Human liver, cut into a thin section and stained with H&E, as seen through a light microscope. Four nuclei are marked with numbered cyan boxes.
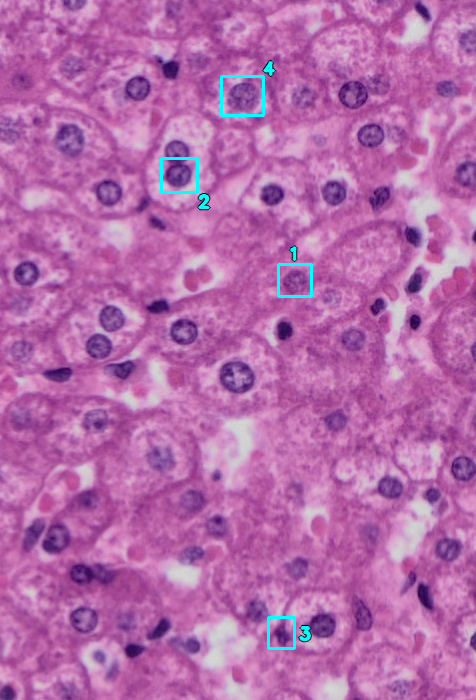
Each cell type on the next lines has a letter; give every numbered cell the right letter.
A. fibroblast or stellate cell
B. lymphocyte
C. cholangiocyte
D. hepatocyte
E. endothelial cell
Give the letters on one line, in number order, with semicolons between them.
D; D; A; D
